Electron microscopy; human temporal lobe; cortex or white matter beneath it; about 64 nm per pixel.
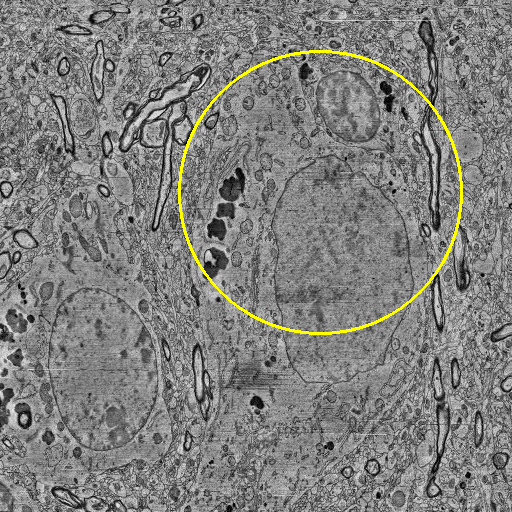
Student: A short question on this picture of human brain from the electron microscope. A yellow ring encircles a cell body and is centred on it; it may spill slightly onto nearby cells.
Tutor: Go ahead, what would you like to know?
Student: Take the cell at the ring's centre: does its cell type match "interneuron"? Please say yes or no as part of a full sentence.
No, the cell found at the ring's centre in the picture has another cell type.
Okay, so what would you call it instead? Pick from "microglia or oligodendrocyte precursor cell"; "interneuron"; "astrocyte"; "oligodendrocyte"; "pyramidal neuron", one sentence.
The cell this ring marks is a pyramidal neuron.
